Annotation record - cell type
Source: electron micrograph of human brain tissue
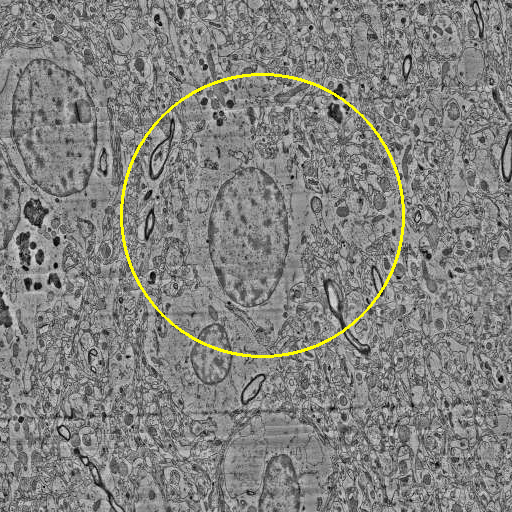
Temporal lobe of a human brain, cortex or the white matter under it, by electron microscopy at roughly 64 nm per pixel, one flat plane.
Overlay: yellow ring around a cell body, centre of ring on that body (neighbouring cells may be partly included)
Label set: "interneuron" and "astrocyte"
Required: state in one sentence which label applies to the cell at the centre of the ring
This cell should be labelled as an astrocyte.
